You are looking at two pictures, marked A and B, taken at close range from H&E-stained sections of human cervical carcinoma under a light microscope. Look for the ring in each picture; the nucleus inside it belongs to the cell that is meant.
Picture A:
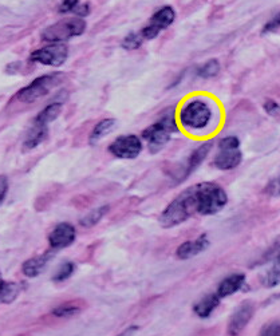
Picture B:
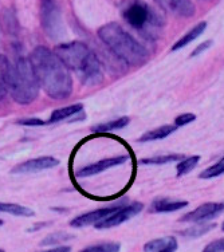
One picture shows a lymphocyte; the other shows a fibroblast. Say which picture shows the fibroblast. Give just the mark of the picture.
B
